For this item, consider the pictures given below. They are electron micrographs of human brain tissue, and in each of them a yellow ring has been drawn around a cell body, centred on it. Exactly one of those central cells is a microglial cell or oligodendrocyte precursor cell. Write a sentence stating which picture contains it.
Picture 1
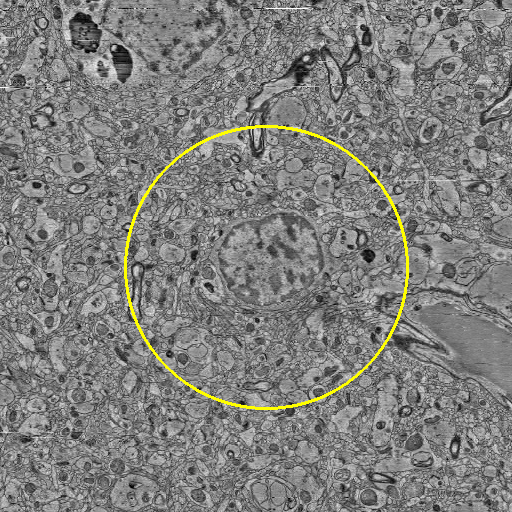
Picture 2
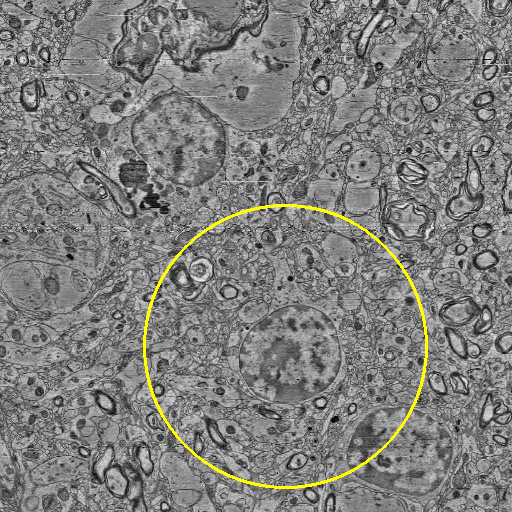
It is in Picture 2.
